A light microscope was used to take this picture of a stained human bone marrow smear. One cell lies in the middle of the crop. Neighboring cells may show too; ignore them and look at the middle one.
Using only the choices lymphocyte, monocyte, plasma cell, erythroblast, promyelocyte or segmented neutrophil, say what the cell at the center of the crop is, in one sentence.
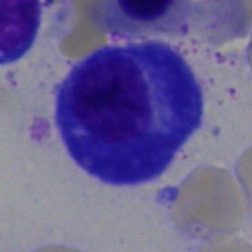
The middle of this crop holds a plasma cell.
